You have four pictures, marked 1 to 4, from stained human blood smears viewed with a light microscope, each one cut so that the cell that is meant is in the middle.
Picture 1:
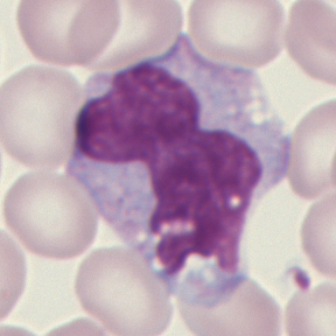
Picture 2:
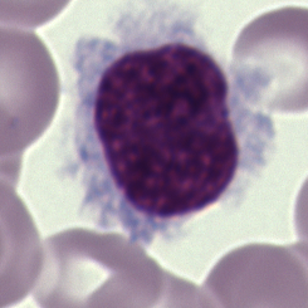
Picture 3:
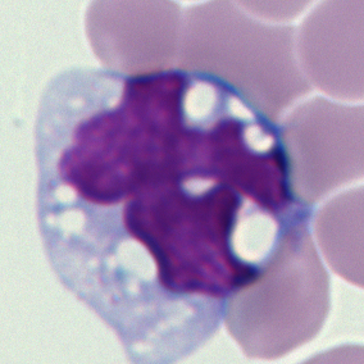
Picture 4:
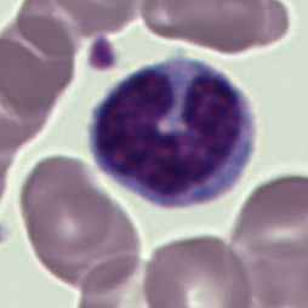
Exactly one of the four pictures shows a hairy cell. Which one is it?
2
